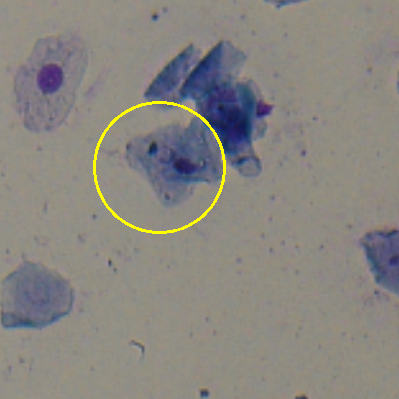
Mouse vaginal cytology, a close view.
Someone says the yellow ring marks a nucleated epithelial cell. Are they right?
They are right: it is a nucleated epithelial cell.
